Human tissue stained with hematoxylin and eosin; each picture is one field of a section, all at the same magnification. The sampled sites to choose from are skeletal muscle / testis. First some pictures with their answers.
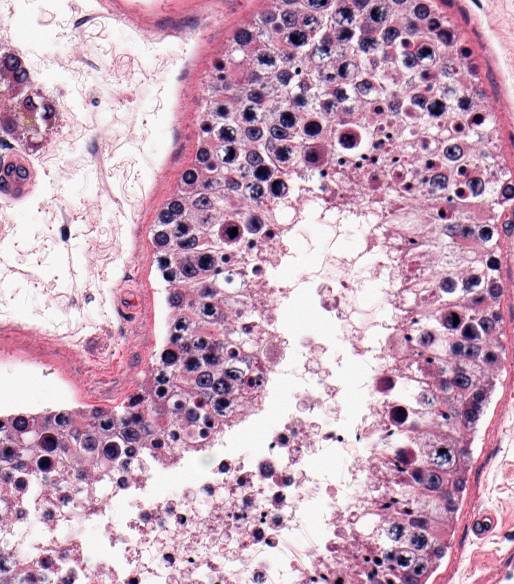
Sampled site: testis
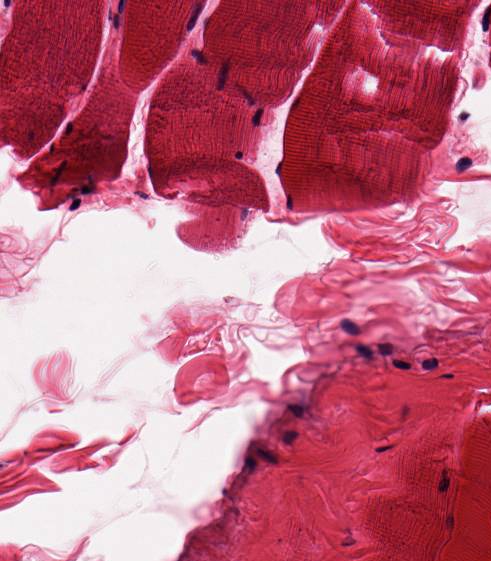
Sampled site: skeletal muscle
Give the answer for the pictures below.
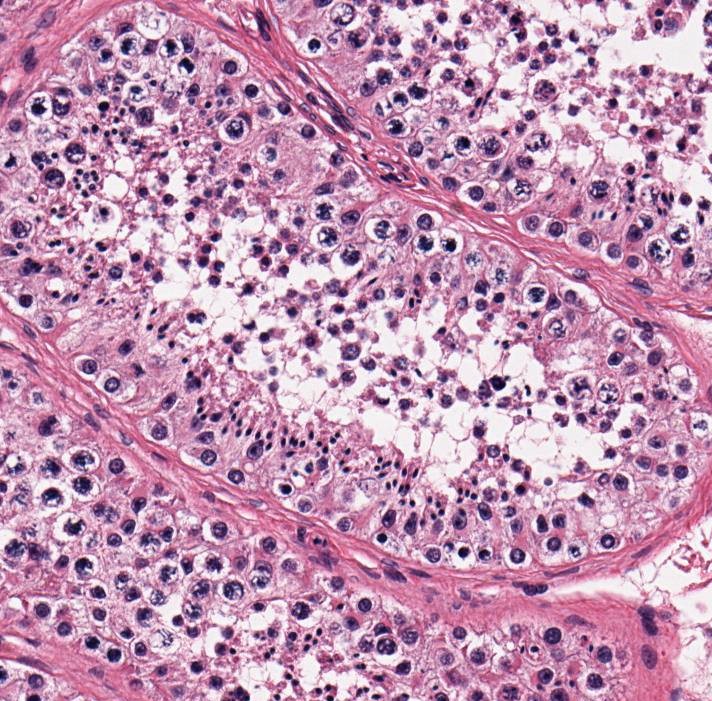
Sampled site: testis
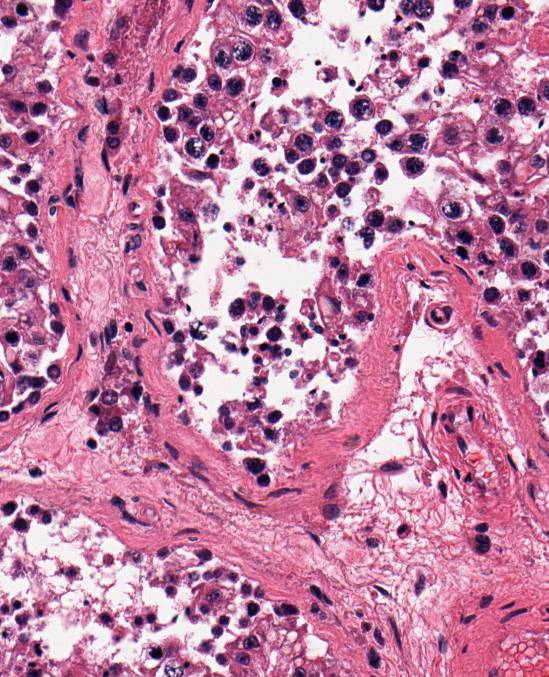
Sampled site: testis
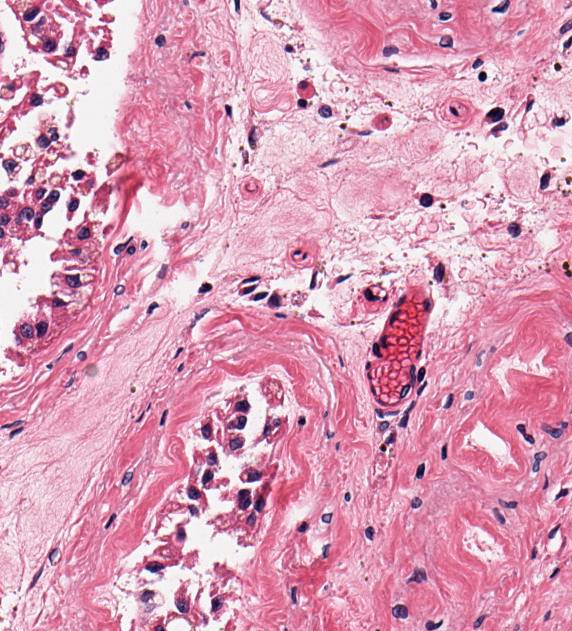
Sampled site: testis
